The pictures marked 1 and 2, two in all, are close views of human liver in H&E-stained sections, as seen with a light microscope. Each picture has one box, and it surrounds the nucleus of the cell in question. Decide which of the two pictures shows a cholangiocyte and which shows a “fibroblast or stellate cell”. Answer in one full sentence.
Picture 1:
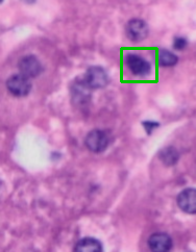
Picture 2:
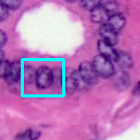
Picture 1 is of a “fibroblast or stellate cell”, and picture 2 is of a cholangiocyte.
